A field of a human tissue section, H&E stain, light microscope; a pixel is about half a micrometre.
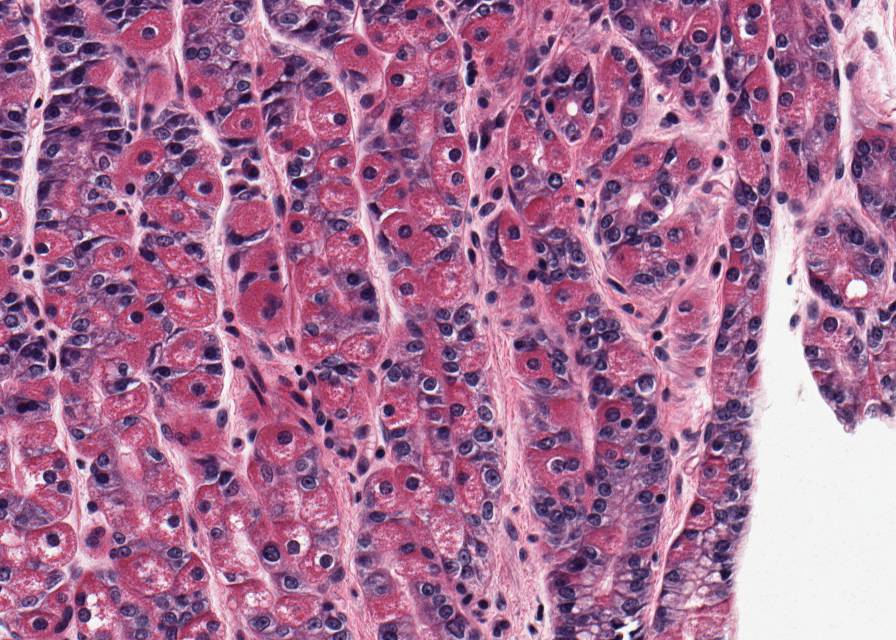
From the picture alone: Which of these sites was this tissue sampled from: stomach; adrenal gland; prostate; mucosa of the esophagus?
stomach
